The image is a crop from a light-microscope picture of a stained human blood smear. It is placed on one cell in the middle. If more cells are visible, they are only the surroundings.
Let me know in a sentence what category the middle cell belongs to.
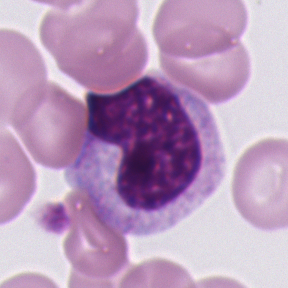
The cell at the middle of the crop is recognized as a band neutrophil.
